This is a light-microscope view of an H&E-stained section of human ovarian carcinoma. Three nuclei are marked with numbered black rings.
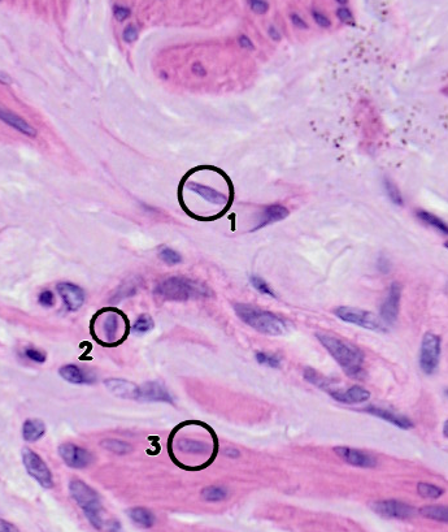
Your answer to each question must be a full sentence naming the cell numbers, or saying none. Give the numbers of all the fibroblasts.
Cell 1 is a fibroblast; no further numbered cell is.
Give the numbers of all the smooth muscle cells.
The numbered cells include exactly one that is a smooth muscle cell, which is cell 3.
